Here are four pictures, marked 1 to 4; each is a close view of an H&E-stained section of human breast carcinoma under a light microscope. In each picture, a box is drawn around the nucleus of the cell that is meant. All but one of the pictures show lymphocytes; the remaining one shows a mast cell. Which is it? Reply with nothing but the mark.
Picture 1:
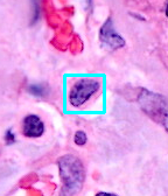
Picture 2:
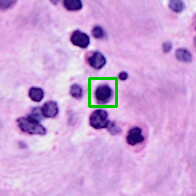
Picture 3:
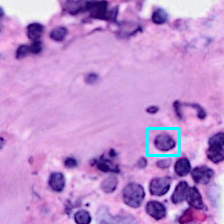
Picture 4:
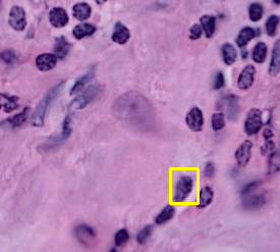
1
